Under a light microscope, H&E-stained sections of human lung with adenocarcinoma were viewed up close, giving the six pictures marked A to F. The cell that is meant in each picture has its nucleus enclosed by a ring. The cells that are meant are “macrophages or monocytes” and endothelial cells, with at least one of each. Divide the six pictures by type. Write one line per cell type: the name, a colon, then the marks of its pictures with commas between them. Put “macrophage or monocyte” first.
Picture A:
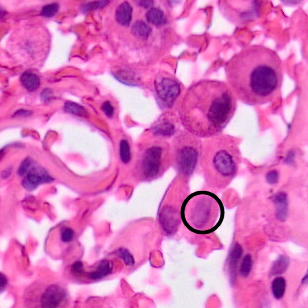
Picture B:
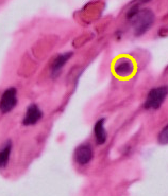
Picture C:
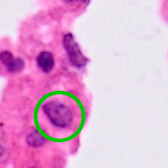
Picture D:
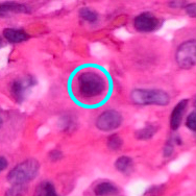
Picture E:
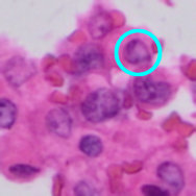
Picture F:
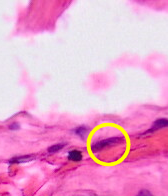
macrophage or monocyte: A, C, D, E
endothelial cell: B, F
